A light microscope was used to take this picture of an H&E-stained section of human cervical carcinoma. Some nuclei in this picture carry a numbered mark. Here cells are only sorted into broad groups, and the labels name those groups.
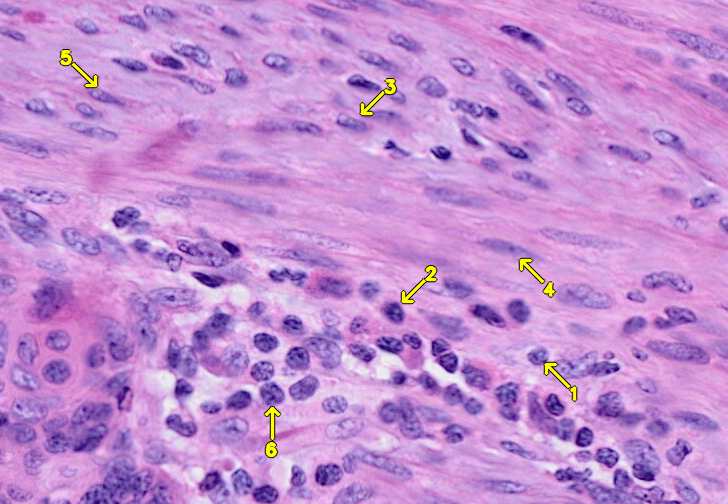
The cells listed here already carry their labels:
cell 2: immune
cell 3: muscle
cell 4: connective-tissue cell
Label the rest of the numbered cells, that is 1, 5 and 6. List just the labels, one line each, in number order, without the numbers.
immune
muscle
immune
